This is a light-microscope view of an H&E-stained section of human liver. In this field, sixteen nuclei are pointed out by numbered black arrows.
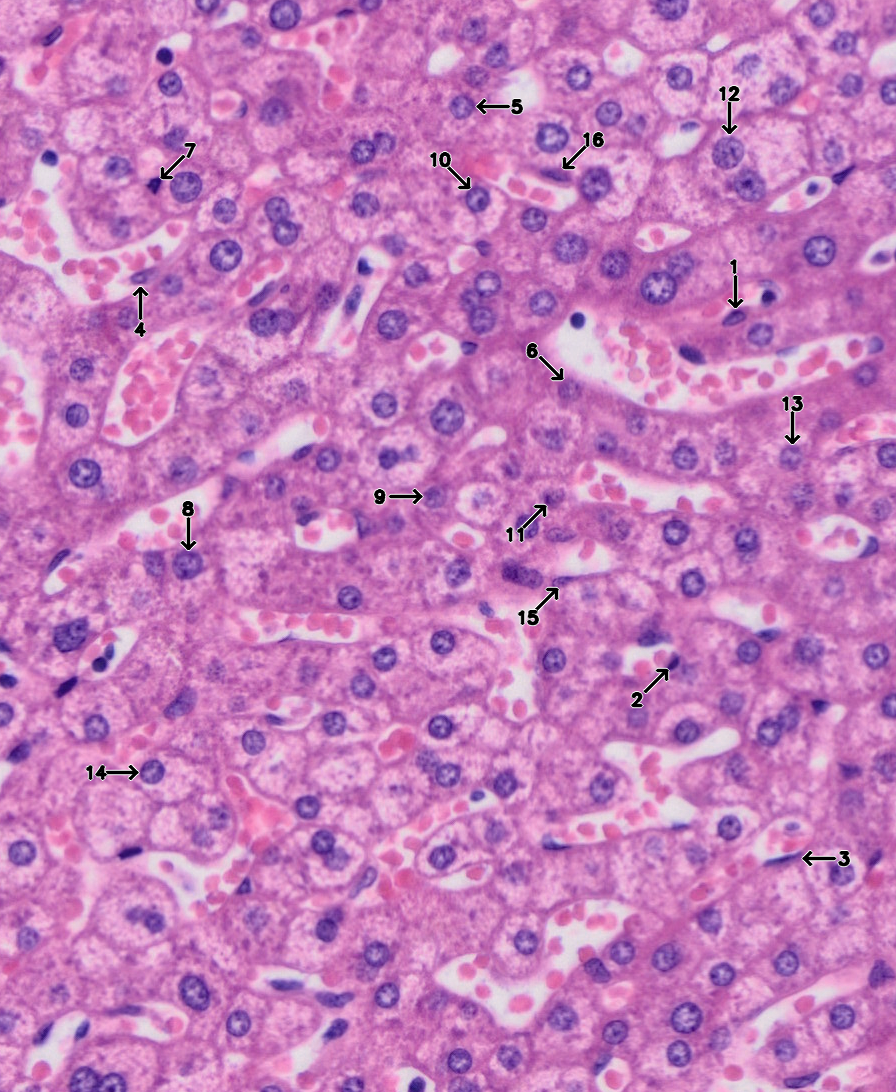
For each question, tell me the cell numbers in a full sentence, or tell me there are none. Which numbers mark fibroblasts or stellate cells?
Classified as fibroblasts or stellate cells are the cells numbered 2, 7 and 15.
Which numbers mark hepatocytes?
Cells 5, 6, 8, 9, 10, 11, 12, 13 and 14 are recognised here as hepatocytes.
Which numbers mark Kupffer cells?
The cells referred to by the numbers 1, 4 and 16 are Kupffer cells.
